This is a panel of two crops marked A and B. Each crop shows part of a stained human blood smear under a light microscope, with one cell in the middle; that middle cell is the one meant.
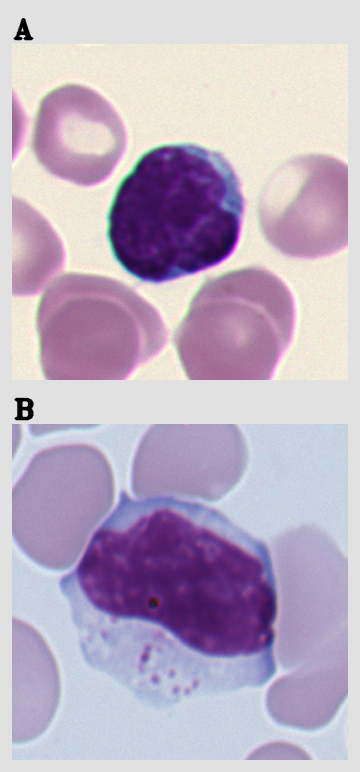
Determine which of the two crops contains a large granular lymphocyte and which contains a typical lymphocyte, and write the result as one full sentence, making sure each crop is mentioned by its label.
Crop A contains a typical lymphocyte, and crop B contains a large granular lymphocyte.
